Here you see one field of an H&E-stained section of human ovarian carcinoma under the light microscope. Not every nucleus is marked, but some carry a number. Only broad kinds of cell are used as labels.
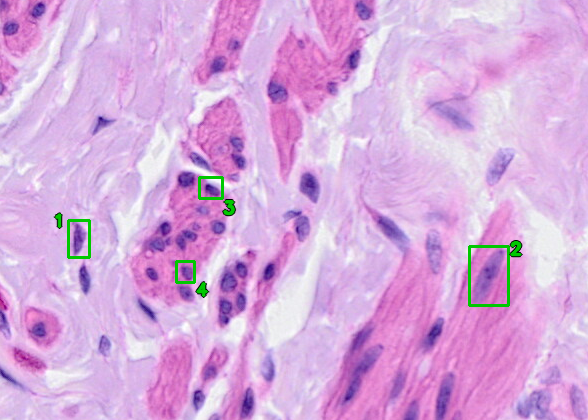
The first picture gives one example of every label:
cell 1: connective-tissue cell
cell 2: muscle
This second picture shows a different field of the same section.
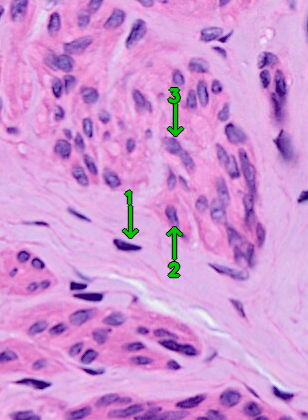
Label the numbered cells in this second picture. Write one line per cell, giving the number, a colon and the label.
1: connective-tissue cell
2: muscle
3: muscle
